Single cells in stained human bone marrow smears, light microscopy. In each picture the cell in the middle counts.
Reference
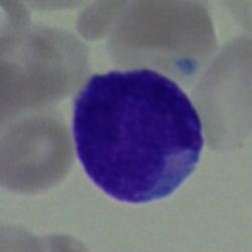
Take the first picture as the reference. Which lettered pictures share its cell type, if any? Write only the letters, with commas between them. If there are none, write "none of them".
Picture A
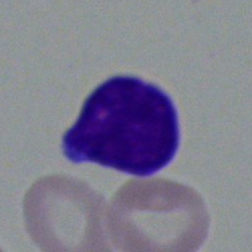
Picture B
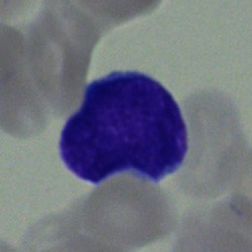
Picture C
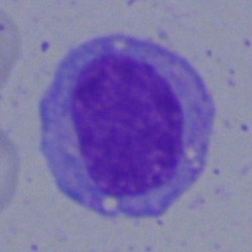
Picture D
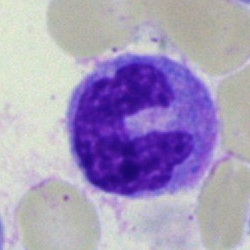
A, B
